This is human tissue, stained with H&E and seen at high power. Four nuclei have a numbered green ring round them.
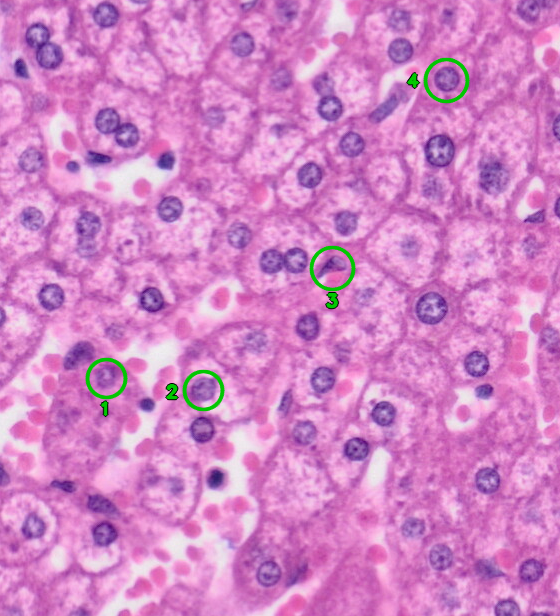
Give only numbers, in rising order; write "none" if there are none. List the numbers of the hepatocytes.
1, 2, 4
